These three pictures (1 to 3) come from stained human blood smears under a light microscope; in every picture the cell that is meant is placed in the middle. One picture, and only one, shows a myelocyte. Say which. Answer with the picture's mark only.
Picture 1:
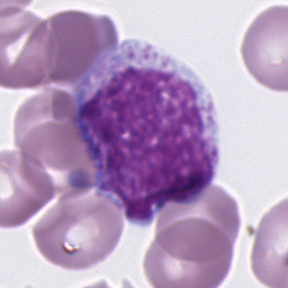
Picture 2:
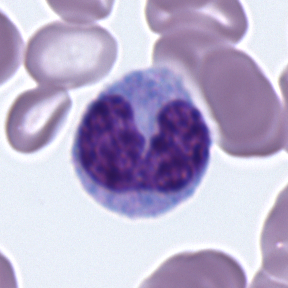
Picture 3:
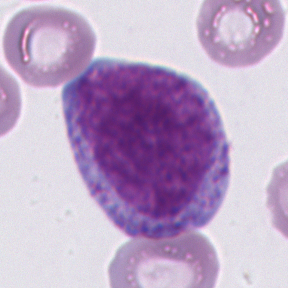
1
